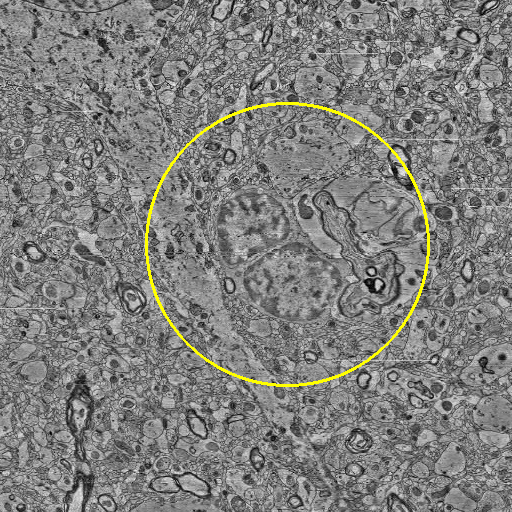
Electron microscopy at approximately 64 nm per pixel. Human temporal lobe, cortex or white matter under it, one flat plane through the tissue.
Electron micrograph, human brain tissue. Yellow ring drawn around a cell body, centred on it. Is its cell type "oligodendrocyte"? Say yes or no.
yes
